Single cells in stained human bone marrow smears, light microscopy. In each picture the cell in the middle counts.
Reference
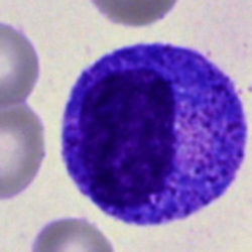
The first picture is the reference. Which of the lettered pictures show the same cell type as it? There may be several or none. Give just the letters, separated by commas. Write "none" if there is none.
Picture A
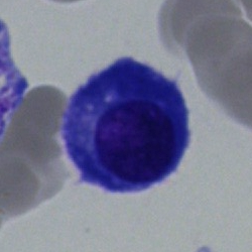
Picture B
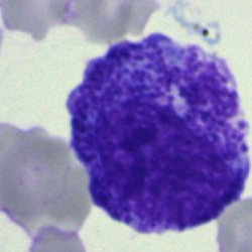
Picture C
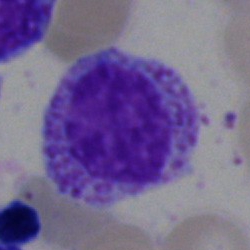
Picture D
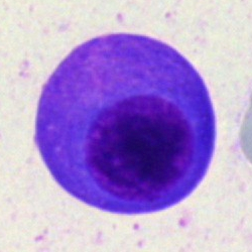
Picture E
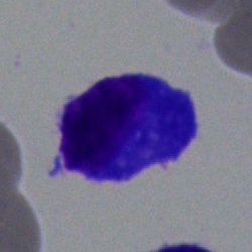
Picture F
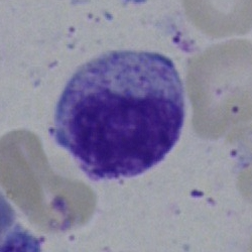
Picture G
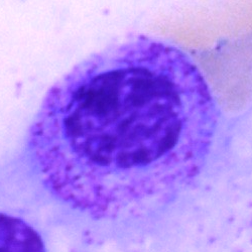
B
